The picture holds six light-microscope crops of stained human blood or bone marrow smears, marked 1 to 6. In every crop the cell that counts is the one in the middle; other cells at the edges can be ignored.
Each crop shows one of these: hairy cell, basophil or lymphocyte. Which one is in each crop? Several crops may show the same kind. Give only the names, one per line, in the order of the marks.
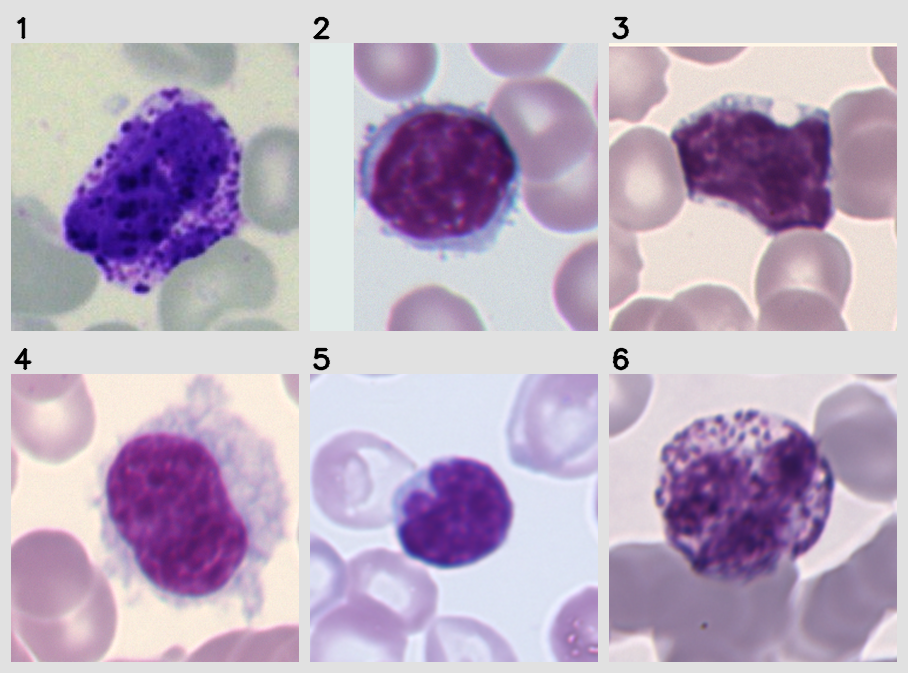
basophil
lymphocyte
lymphocyte
hairy cell
lymphocyte
basophil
